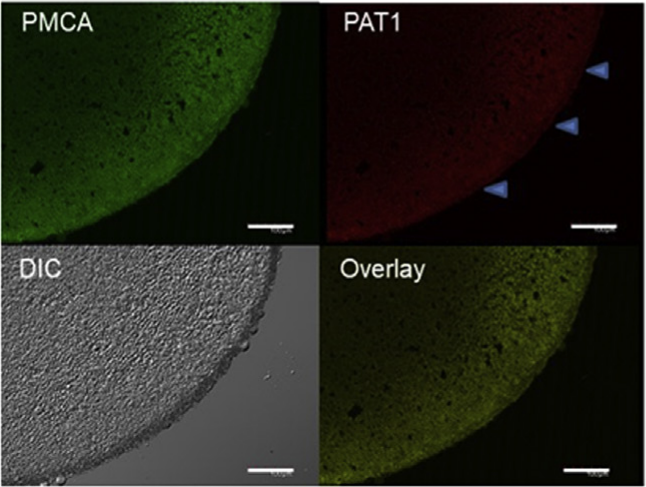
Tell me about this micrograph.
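The images show part of a single very large, round oocyte, of which only a curved sector of the edge fills each frame. The green fluorescence covers the cell with a brighter band along the outer edge and small dark spots scattered inside. The red fluorescence likewise covers the cell and is brightest near the curved edge, where blue arrowheads point to the outer surface. In the overlay the two colours coincide to give yellow-green over the cell.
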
